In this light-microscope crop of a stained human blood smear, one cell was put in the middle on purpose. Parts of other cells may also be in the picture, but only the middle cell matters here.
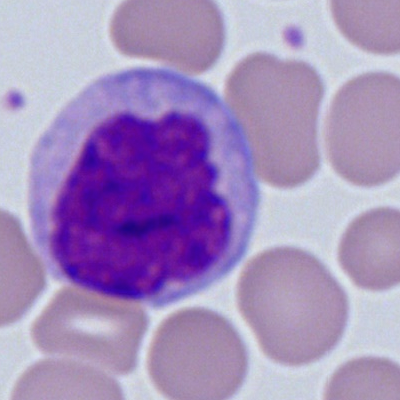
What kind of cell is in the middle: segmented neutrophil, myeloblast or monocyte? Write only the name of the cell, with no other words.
monocyte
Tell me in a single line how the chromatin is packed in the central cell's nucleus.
You can see that its chromatin is coarsely clumped.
